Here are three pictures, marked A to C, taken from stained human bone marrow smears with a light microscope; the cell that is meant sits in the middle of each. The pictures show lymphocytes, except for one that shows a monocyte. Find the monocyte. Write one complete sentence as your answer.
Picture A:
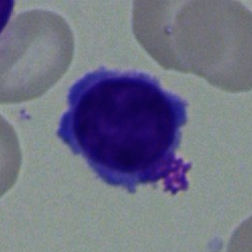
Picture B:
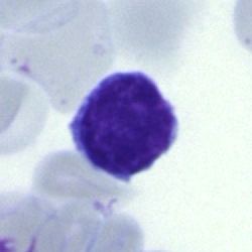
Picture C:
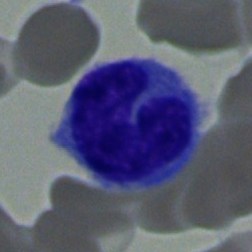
Picture C shows the monocyte.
